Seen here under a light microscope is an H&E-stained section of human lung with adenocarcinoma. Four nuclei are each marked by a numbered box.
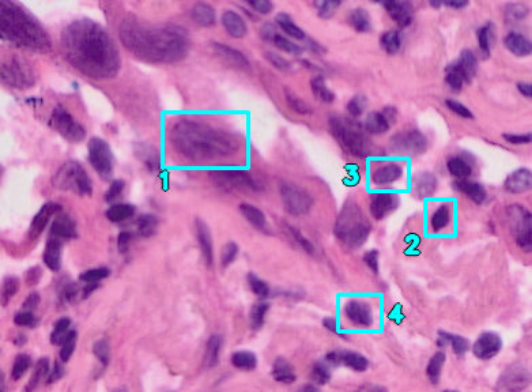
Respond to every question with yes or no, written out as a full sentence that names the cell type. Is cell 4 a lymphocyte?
Yes, the cell denoted by 4 is a lymphocyte.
